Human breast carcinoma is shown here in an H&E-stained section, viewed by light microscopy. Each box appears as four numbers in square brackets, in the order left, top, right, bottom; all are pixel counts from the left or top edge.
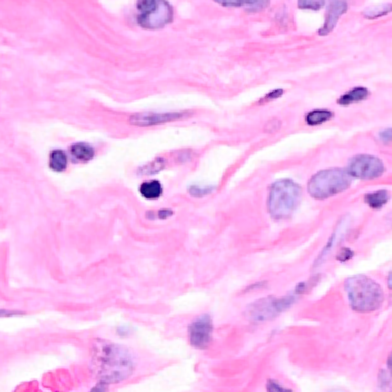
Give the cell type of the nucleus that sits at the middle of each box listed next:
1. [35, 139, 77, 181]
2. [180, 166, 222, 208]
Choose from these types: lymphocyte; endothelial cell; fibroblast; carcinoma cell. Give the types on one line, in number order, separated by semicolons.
lymphocyte; endothelial cell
